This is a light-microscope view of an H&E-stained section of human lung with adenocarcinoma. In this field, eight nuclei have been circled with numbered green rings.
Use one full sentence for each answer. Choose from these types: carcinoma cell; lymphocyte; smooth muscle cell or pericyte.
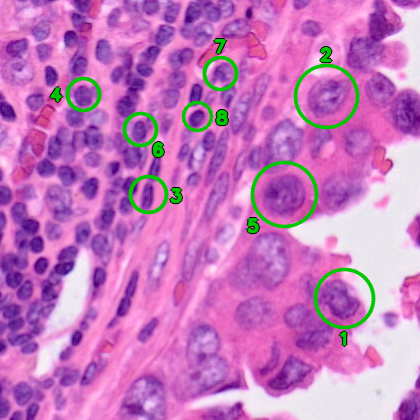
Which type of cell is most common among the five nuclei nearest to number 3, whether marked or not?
Lymphocytes account for more than half of the five nuclei nearest to number 3.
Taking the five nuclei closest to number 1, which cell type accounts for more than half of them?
Carcinoma cells account for more than half of the five nuclei nearest to number 1.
